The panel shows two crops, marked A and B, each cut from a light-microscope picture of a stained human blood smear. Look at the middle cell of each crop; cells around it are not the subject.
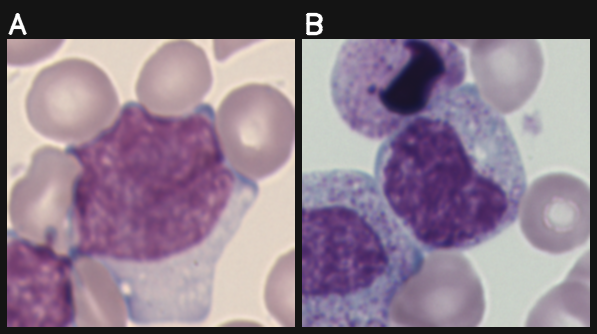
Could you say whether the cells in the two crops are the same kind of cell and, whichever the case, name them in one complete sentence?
No, as for crop A, it shows a myeloblast, and crop B shows a promyelocyte.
